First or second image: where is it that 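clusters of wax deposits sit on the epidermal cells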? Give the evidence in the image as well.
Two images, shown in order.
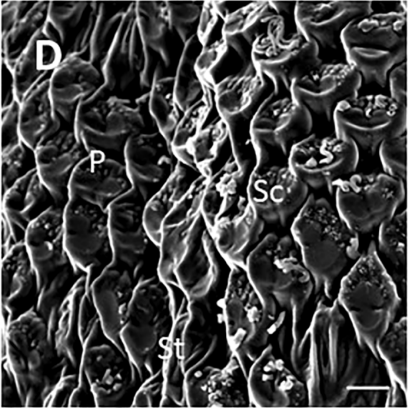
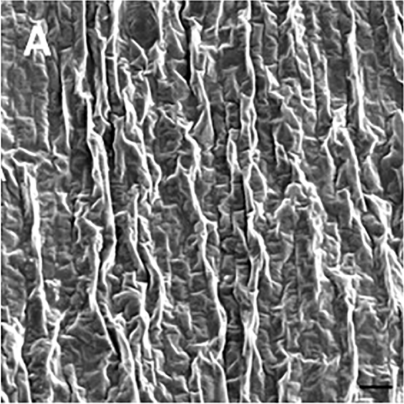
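The first image. First image: many cells carry small bright clustered particles in their cupped surfaces. Second image: a wrinkled, longitudinally furrowed surface without such particle clusters.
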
